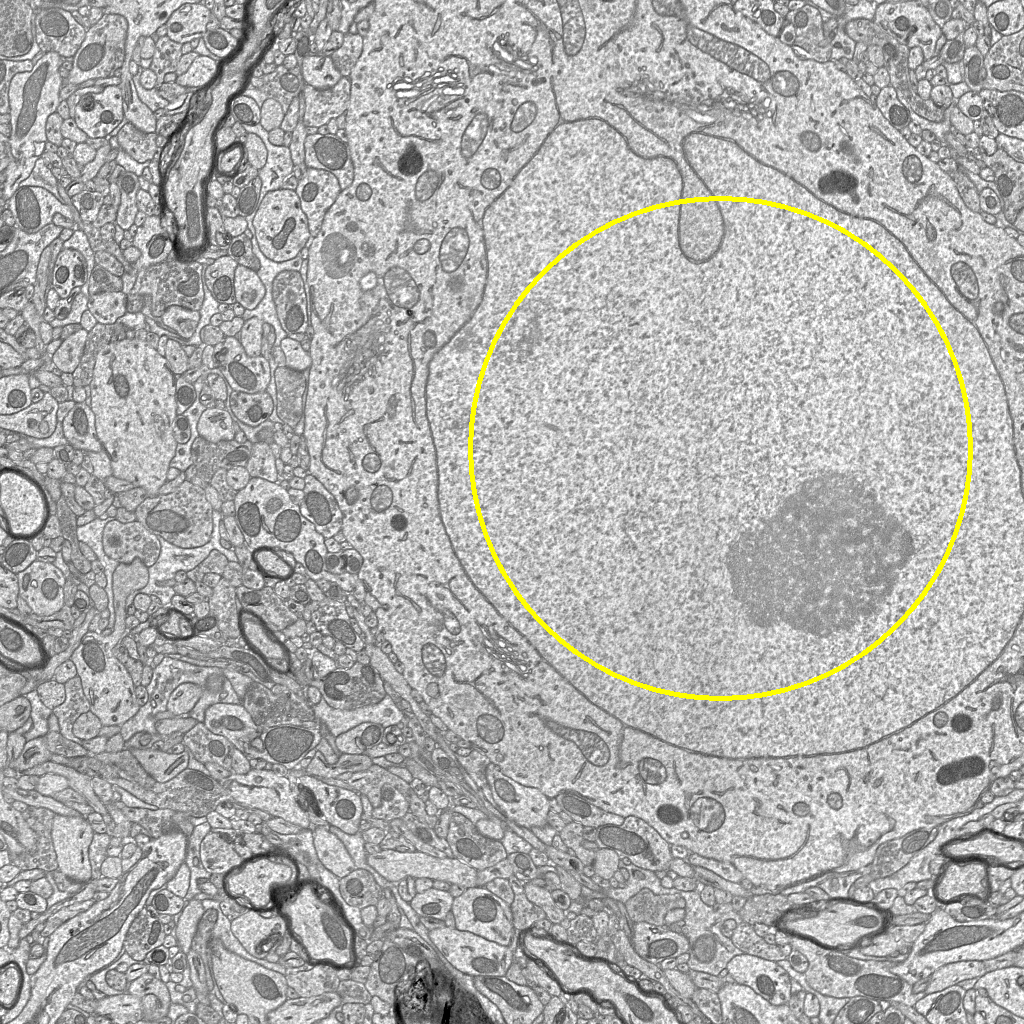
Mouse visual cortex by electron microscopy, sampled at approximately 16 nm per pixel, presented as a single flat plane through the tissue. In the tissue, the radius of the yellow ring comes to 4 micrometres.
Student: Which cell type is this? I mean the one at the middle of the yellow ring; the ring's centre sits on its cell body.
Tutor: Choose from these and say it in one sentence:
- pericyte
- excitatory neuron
The cell at the ring's centre is an excitatory neuron.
